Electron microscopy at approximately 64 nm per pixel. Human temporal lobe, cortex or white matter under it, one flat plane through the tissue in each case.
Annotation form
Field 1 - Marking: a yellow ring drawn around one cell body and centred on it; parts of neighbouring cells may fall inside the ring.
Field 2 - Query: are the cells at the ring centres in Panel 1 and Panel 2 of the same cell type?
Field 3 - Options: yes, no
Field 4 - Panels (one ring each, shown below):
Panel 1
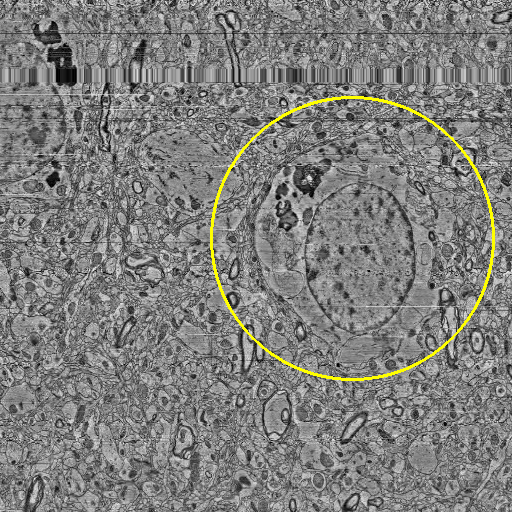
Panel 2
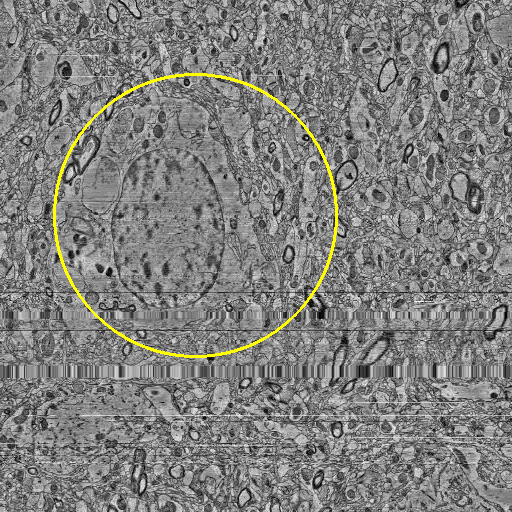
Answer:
yes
